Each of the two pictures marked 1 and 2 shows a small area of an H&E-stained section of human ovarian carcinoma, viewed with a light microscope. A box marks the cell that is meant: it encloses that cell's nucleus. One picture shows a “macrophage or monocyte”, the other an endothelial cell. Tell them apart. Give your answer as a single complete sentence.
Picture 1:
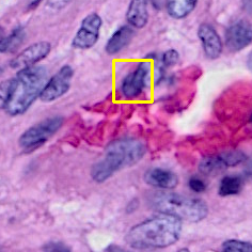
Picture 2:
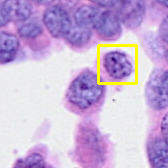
The cell in picture 1 is an endothelial cell, and the one in picture 2 is a “macrophage or monocyte”.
